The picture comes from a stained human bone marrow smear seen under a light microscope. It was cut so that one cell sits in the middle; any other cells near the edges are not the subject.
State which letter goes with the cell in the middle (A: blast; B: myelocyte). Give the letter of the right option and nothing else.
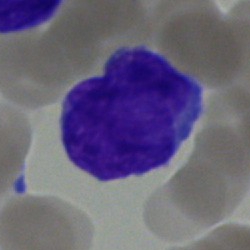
A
